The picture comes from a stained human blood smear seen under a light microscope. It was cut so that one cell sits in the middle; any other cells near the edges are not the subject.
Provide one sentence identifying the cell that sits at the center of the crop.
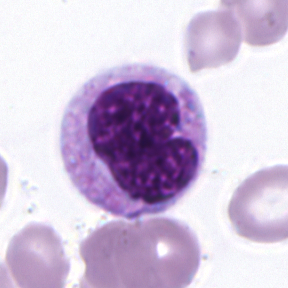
The cell at the middle of the crop is recognized as a metamyelocyte.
